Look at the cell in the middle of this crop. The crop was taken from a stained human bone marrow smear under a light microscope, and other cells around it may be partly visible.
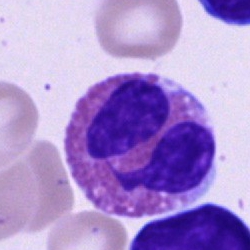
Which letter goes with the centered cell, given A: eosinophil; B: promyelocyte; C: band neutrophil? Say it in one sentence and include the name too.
Identified correctly by option A, the cell in the middle is an eosinophil.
